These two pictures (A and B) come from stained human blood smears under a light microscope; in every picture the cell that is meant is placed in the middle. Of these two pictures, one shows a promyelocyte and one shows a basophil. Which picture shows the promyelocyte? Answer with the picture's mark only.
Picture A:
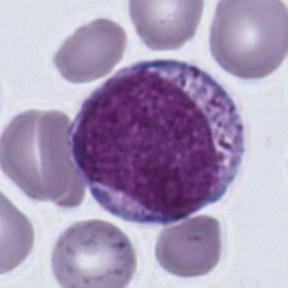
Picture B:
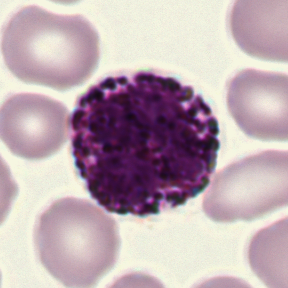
A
